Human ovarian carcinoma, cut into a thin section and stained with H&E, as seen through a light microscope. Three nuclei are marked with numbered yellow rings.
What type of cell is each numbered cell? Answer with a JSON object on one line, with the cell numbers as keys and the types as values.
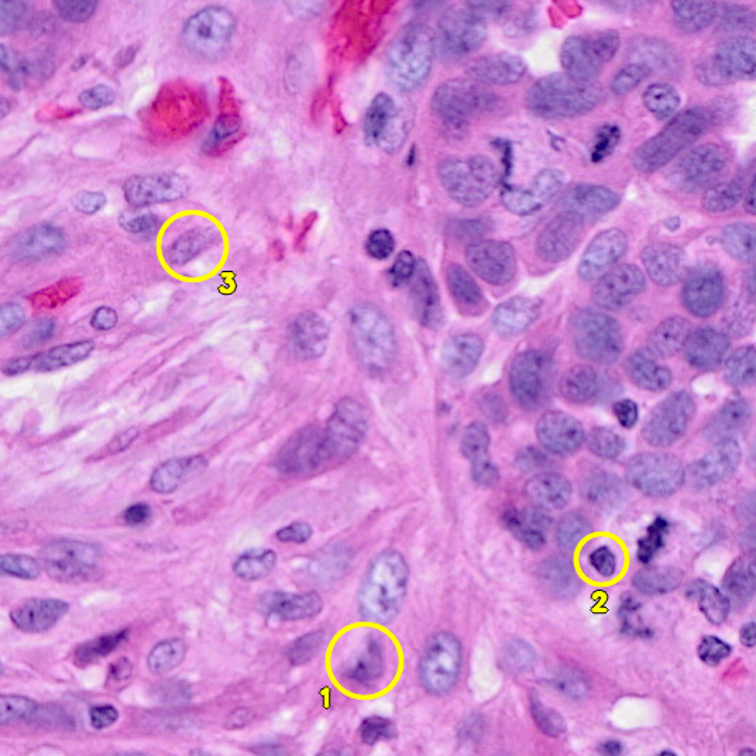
{"1": "fibroblast", "2": "lymphocyte", "3": "fibroblast"}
